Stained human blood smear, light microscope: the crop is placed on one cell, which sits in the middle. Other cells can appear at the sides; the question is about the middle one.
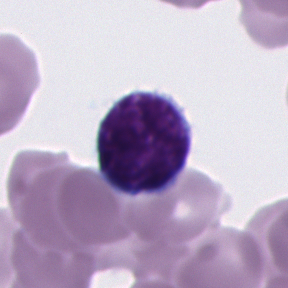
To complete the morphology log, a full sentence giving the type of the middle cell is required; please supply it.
Regarding the central cell, it is a typical lymphocyte.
